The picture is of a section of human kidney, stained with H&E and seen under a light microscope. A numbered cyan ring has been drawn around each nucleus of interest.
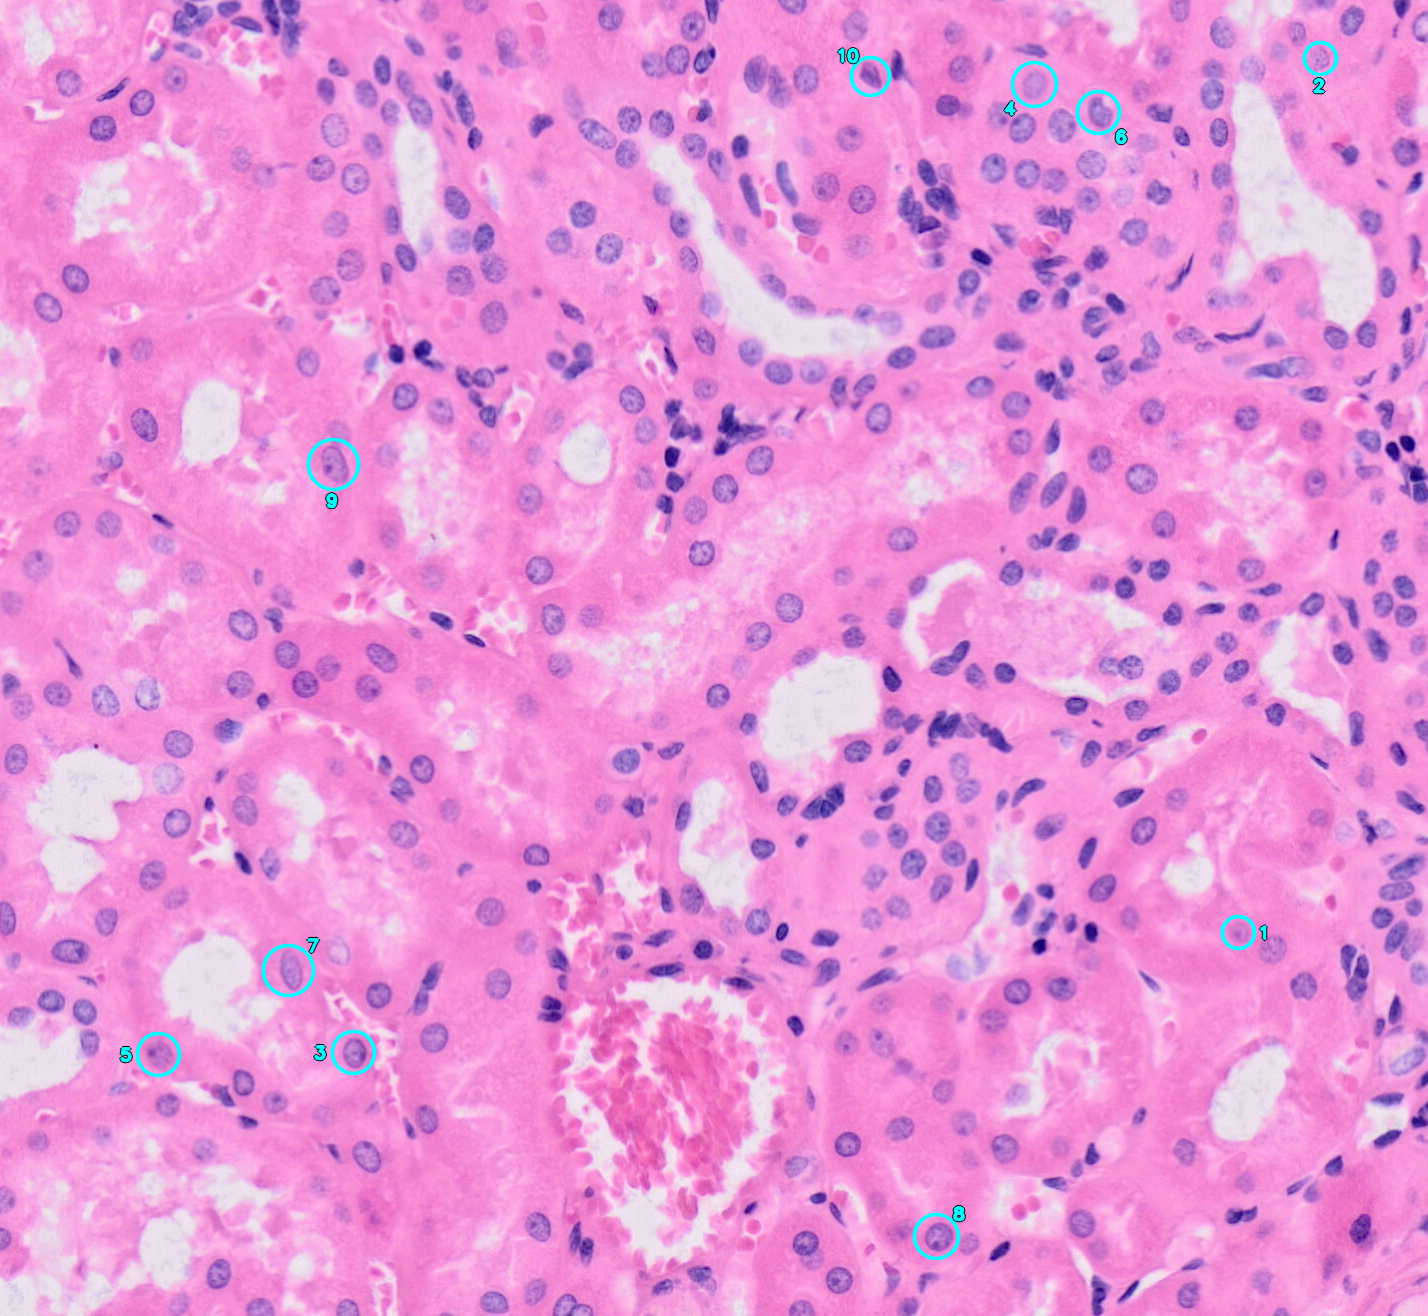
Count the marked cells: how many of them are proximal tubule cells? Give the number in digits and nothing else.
6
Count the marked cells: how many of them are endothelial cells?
1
